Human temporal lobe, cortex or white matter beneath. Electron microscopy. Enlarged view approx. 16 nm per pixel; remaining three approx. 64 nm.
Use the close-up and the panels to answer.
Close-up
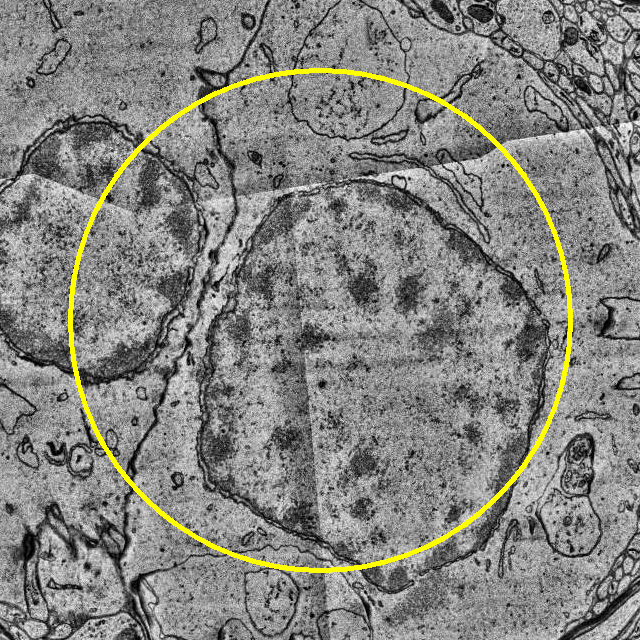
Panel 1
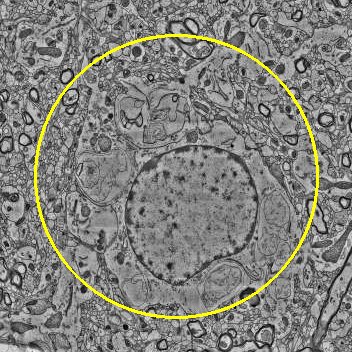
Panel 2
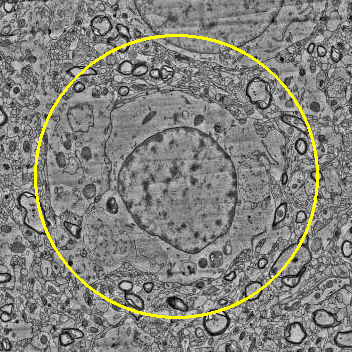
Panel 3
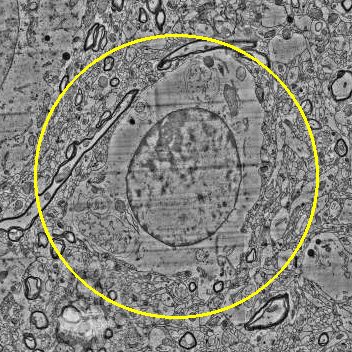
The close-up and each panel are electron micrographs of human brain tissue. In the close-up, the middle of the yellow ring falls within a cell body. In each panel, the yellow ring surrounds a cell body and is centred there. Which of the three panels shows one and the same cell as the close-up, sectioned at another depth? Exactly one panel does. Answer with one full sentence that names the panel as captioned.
The cell marked in Panel 2 is the one enlarged in the close-up.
